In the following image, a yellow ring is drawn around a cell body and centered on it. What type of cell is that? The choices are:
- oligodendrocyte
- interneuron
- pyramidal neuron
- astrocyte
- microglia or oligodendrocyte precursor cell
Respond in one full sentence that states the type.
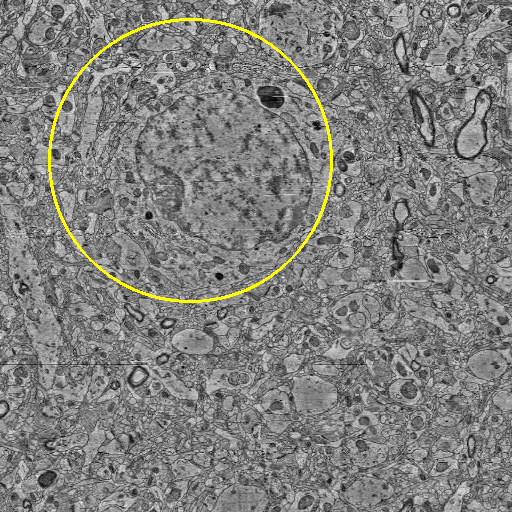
The cell at the center of the yellow ring in the image is an interneuron.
